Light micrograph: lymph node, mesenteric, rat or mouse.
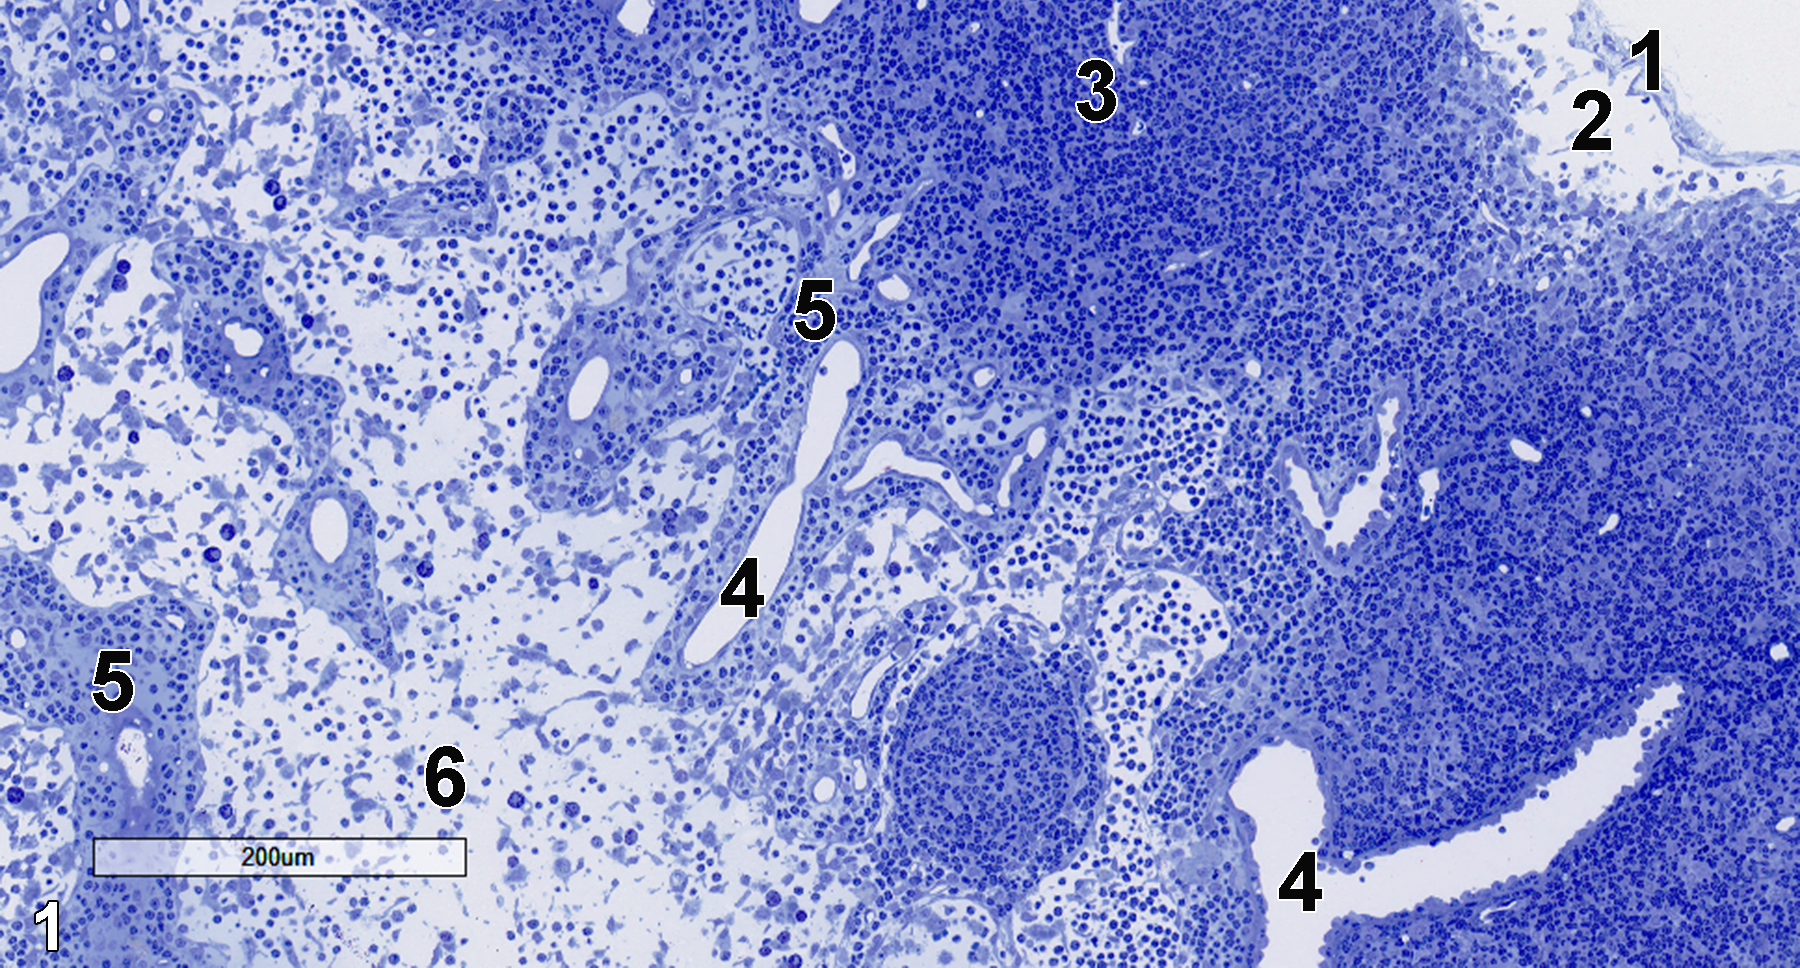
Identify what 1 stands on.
capsule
